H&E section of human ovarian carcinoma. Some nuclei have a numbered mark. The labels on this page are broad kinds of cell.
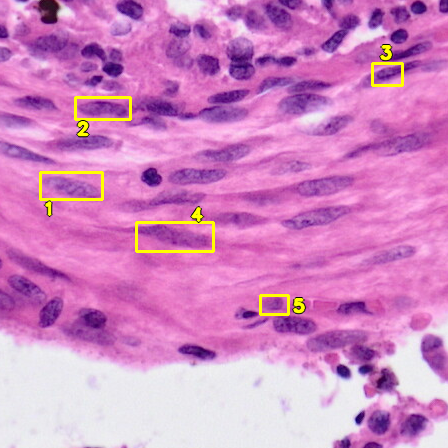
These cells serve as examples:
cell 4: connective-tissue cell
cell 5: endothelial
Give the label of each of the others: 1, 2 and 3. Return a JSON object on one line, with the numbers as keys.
{"1": "connective-tissue cell", "2": "endothelial", "3": "connective-tissue cell"}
